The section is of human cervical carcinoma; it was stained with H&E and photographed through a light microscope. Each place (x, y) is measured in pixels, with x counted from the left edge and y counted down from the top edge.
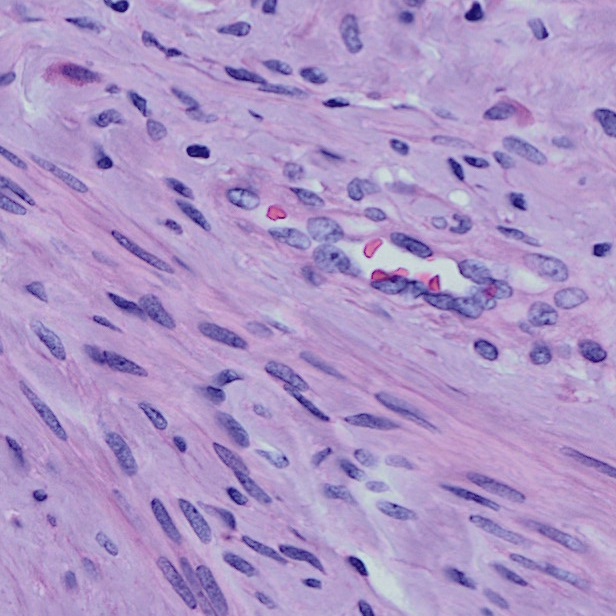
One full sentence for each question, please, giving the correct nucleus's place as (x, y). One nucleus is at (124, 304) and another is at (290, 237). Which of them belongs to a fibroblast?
So, of the two, the nucleus at (124, 304) is the one belonging to a fibroblast.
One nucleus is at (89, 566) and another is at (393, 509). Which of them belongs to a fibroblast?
The nucleus of a fibroblast lies at (393, 509), not at the other position.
